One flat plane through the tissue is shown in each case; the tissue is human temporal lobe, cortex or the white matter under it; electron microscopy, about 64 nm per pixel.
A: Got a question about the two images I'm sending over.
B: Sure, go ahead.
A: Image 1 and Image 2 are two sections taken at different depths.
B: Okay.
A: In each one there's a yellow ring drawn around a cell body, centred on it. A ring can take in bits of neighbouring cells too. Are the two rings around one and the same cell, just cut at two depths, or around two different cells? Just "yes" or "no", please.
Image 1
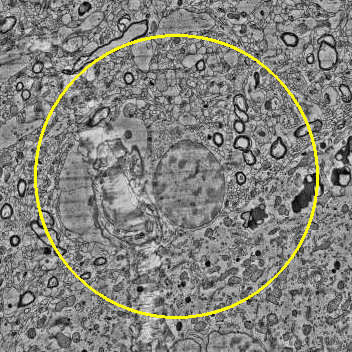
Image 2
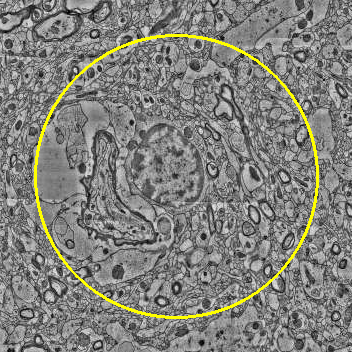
no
